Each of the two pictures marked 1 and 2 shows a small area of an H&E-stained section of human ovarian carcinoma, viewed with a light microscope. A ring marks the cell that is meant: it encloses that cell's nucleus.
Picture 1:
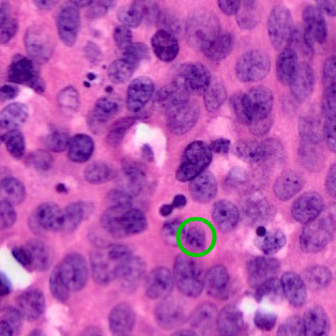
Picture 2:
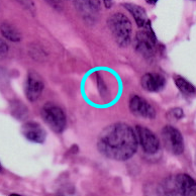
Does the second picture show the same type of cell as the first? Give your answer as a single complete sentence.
Yes, the two pictures both show endothelial cells.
